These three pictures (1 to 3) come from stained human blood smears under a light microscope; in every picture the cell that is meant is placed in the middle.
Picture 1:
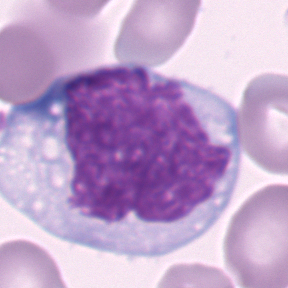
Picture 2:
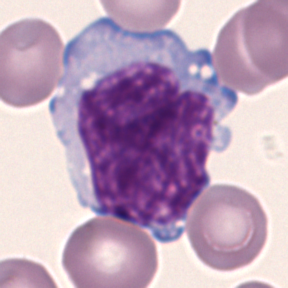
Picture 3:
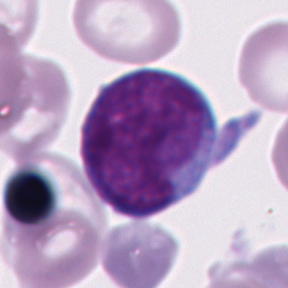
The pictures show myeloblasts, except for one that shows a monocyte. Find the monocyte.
1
